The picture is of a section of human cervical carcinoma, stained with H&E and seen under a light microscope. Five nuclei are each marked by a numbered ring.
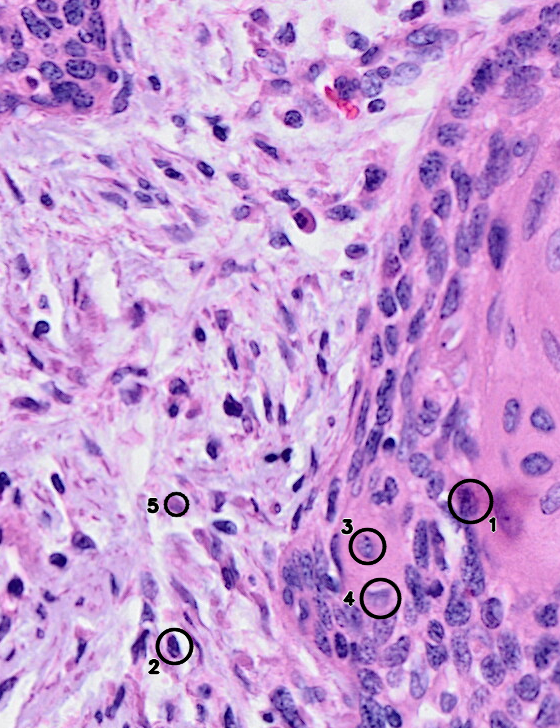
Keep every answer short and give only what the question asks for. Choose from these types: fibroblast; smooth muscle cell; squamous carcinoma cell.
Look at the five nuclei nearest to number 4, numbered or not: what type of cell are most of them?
squamous carcinoma cell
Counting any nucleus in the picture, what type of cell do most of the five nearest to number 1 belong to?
squamous carcinoma cell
